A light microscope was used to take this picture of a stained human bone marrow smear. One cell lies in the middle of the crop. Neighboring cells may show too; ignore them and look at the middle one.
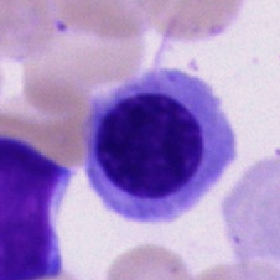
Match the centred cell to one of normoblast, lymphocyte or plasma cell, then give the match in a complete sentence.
The centrally positioned cell in the crop represents a normoblast.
